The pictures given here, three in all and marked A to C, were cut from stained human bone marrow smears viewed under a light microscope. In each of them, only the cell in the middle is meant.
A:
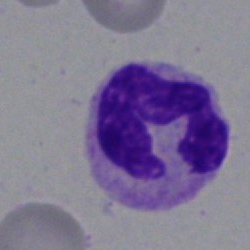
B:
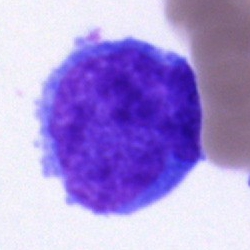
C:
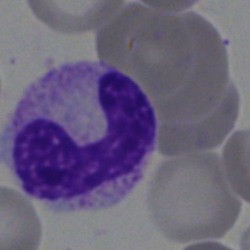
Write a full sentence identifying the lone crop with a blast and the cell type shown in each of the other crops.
Crop B is identified as a blast, while crop A is a segmented neutrophil and crop C is a band neutrophil.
